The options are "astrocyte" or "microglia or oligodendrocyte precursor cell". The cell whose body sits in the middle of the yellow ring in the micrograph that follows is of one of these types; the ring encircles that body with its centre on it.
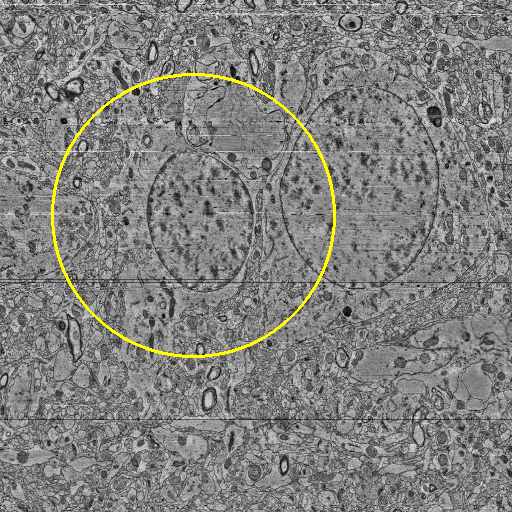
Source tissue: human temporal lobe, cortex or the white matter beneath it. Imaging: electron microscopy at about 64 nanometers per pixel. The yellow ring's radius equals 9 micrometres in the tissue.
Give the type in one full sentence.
Going by the micrograph, the cell centred in the yellow ring is an astrocyte.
